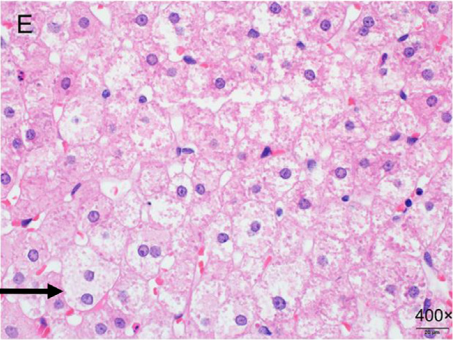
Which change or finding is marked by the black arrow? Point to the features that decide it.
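The arrowed cell has pale, foamy, vacuolated cytoplasm. Many neighbouring cells show clear spaces in a loose pink cytoplasm. Nuclei remain round and centrally placed. That points to this answer: vacuolar change.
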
